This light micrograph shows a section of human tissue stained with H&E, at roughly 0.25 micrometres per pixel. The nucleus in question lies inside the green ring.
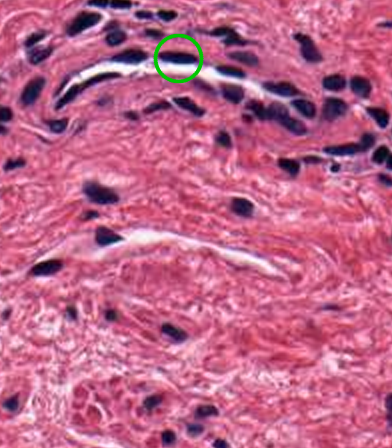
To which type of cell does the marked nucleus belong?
endothelial cell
